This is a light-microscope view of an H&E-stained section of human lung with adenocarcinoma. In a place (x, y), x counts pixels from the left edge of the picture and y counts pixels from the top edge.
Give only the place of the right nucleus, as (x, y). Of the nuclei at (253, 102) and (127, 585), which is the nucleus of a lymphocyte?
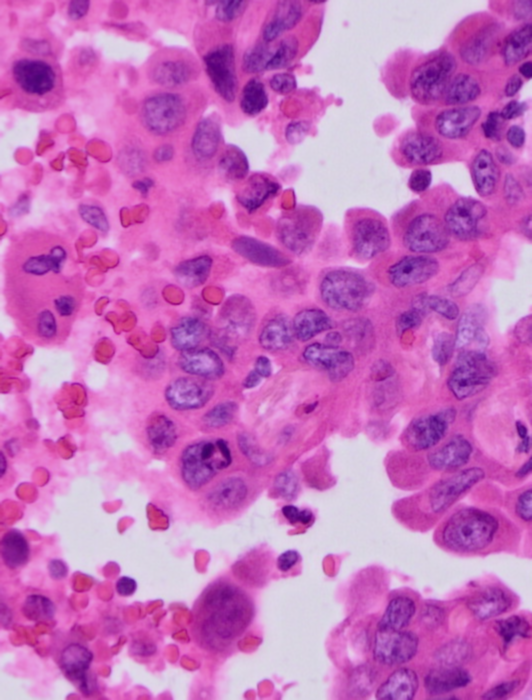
(127, 585)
